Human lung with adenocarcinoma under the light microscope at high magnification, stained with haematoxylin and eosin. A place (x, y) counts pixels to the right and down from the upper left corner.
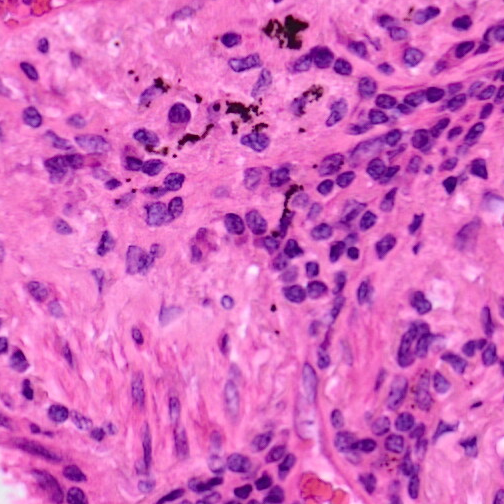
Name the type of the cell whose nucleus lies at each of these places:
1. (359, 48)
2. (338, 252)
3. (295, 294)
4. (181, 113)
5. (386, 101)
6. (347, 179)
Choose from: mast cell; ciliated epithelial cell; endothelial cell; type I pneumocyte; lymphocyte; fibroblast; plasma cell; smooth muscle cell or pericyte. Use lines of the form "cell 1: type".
cell 1: plasma cell
cell 2: lymphocyte
cell 3: lymphocyte
cell 4: plasma cell
cell 5: lymphocyte
cell 6: lymphocyte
